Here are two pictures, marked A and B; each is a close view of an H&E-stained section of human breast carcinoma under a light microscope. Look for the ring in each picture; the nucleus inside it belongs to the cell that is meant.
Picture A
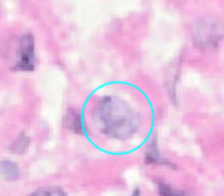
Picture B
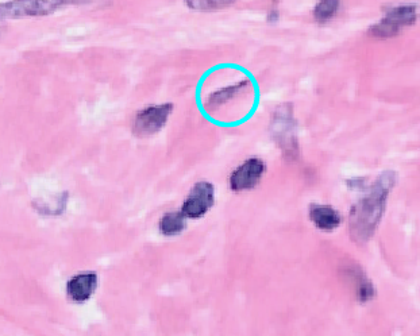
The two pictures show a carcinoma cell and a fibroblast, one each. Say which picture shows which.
A: carcinoma cell
B: fibroblast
